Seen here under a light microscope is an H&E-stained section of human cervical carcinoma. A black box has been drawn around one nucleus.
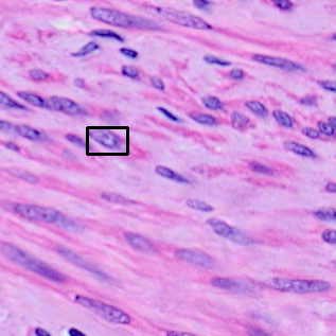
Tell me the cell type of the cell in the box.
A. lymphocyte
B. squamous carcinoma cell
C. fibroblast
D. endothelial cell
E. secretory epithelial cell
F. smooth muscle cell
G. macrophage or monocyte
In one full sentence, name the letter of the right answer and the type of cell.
Option F holds, since the cell in the box is a smooth muscle cell.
